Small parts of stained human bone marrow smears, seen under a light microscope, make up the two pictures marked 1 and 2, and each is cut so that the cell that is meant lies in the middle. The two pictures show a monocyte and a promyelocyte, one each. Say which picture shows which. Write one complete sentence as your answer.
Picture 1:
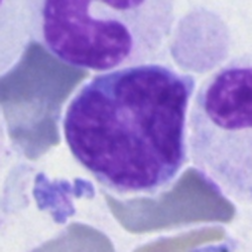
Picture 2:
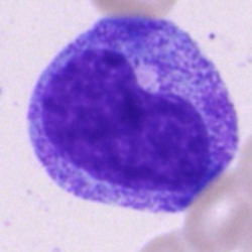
Picture 1 is of a monocyte, and picture 2 is of a promyelocyte.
